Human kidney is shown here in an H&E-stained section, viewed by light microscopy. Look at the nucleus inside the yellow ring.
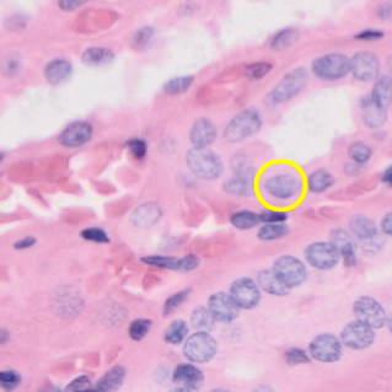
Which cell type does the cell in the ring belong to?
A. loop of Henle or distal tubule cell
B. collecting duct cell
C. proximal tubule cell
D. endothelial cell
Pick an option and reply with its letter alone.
B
